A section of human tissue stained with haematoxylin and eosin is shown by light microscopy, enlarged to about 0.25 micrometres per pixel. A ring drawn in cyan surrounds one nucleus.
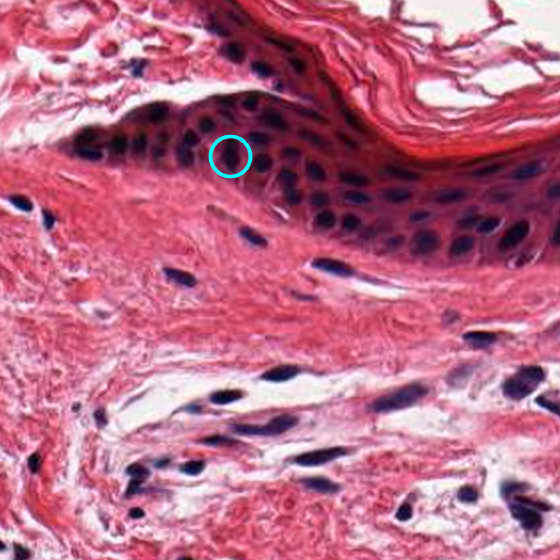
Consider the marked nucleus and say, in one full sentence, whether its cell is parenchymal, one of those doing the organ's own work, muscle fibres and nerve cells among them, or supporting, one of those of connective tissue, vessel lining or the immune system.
The marked nucleus is the nucleus of a parenchymal cell, that is, a keratinocyte.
